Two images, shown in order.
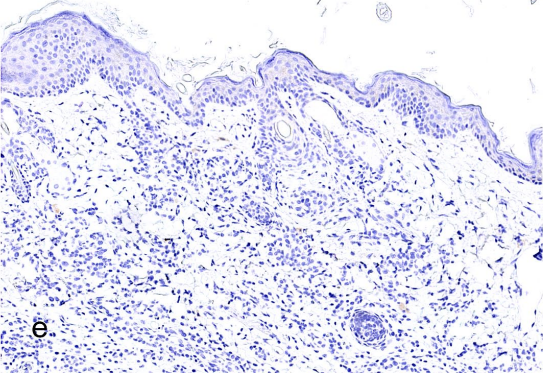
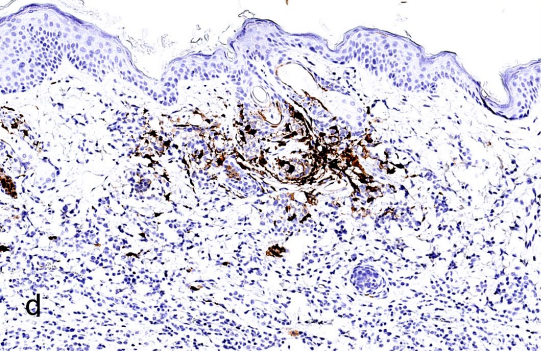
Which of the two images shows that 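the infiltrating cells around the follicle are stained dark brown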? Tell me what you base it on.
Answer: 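First image: the dermal infiltrate around the follicle shows only blue nuclei, with no brown staining. Second image: many branching cells in the same area are strongly brown.
The second image.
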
